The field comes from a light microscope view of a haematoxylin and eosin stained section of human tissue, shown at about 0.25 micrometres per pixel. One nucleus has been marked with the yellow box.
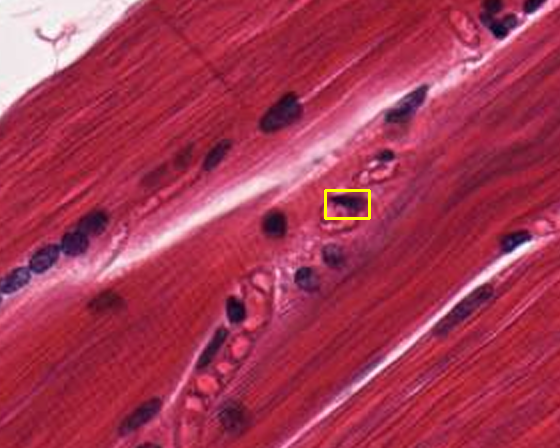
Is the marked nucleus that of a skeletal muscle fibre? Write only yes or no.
no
